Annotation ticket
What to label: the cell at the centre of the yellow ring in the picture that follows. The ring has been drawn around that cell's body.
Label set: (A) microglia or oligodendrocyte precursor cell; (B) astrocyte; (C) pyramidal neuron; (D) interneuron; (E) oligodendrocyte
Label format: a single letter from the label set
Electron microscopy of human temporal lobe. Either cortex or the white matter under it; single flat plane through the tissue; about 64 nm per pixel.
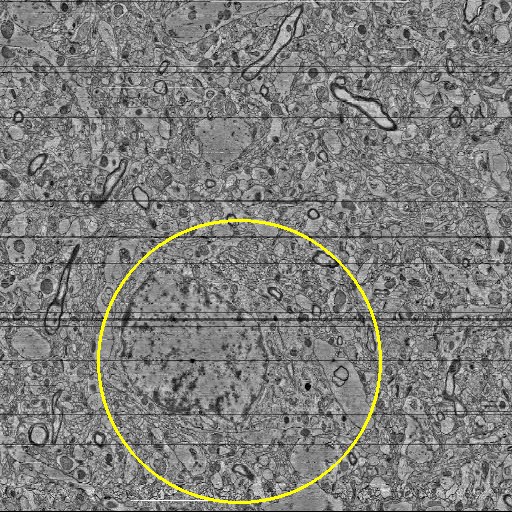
D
